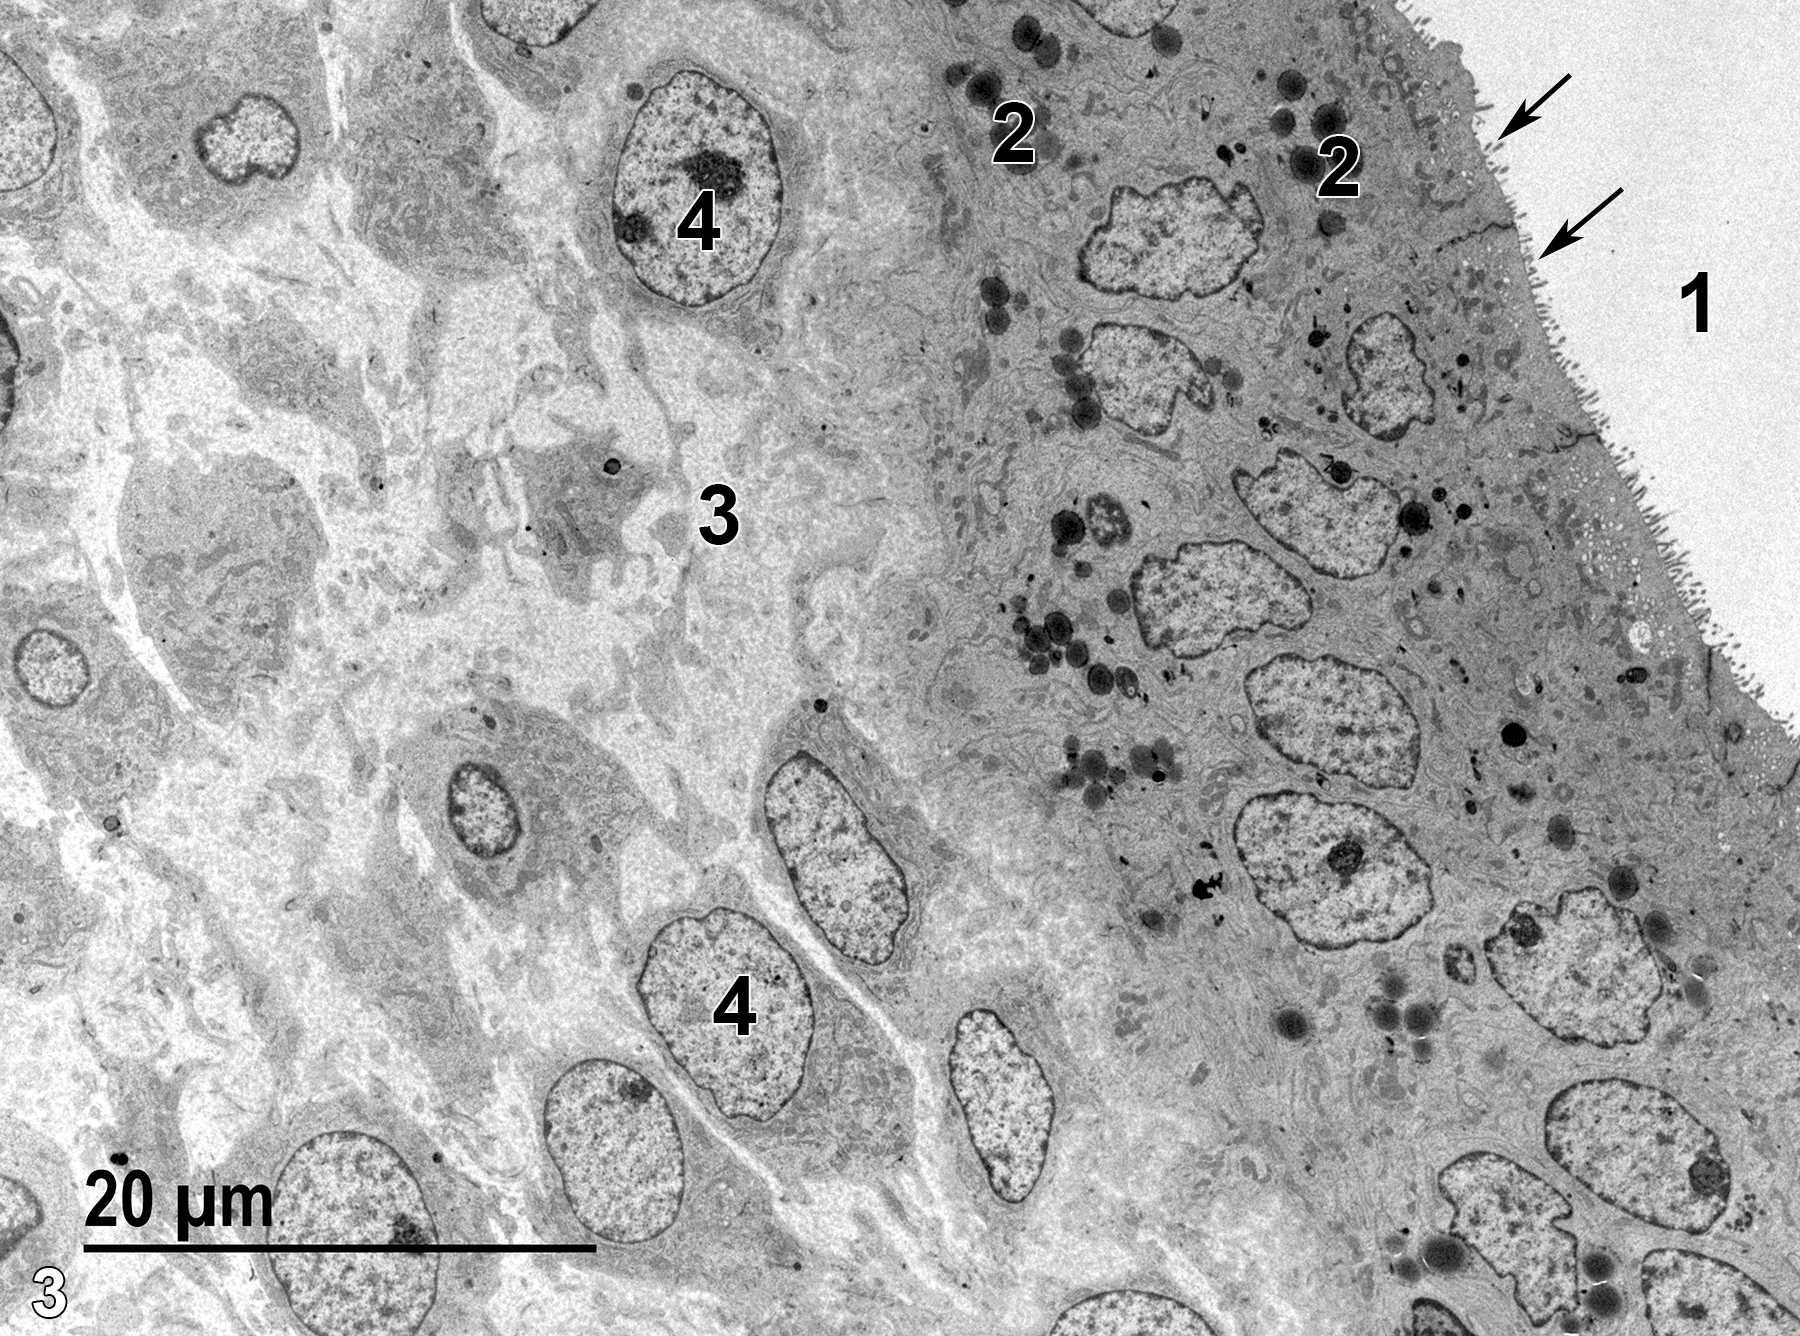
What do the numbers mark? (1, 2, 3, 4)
1: uterine lumen
2: electron-dense secretory granules
3: connective tissue
4: fibroblasts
